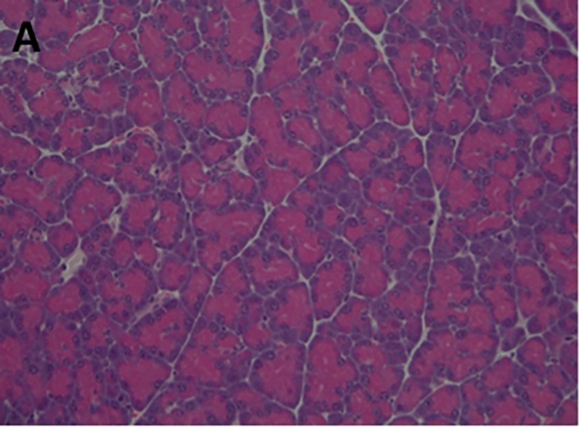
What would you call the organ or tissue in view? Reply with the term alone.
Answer: Pancreas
